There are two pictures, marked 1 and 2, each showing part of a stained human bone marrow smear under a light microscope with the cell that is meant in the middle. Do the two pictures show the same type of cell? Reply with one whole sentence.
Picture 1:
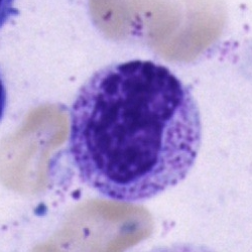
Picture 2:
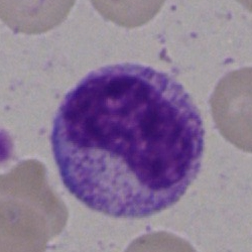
Yes, they are the same type: both are metamyelocytes.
